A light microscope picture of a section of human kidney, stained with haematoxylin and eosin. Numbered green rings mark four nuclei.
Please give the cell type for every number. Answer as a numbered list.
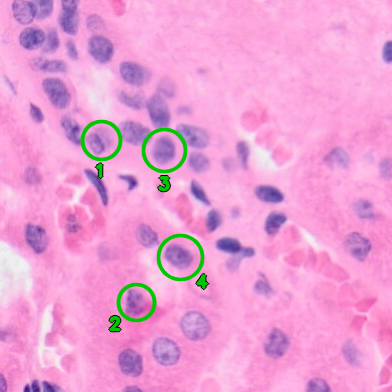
1. collecting duct cell
2. proximal tubule cell
3. collecting duct cell
4. proximal tubule cell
